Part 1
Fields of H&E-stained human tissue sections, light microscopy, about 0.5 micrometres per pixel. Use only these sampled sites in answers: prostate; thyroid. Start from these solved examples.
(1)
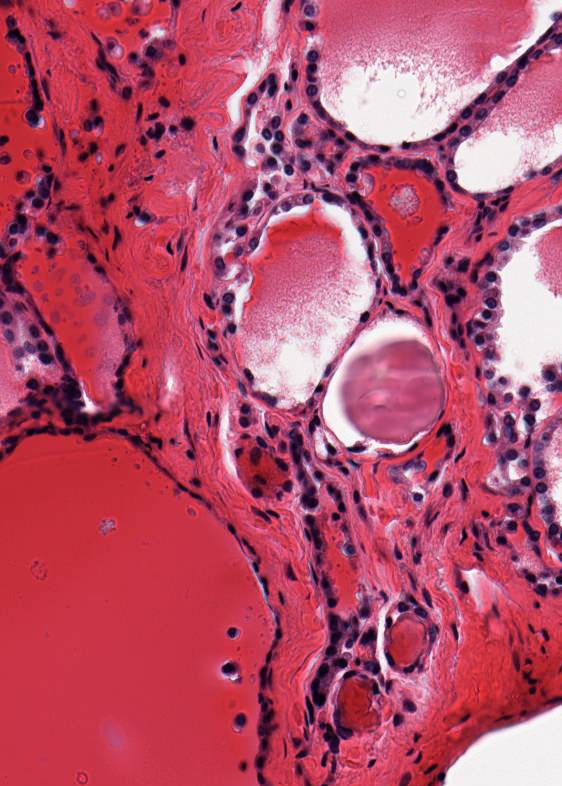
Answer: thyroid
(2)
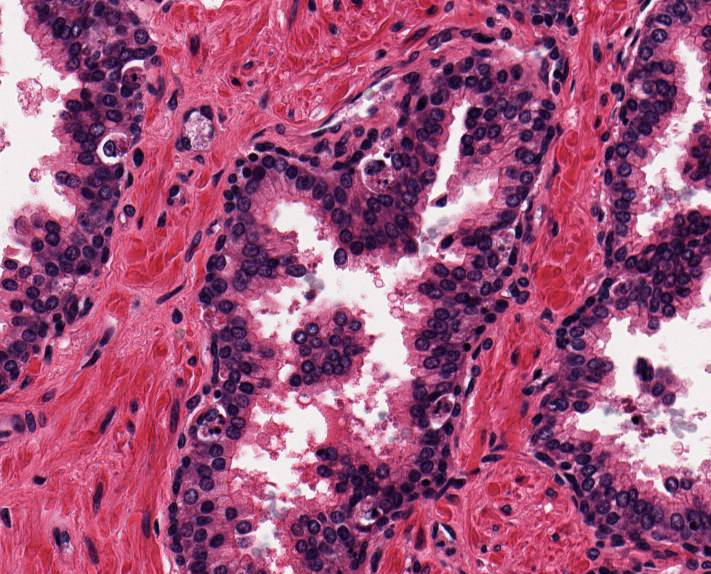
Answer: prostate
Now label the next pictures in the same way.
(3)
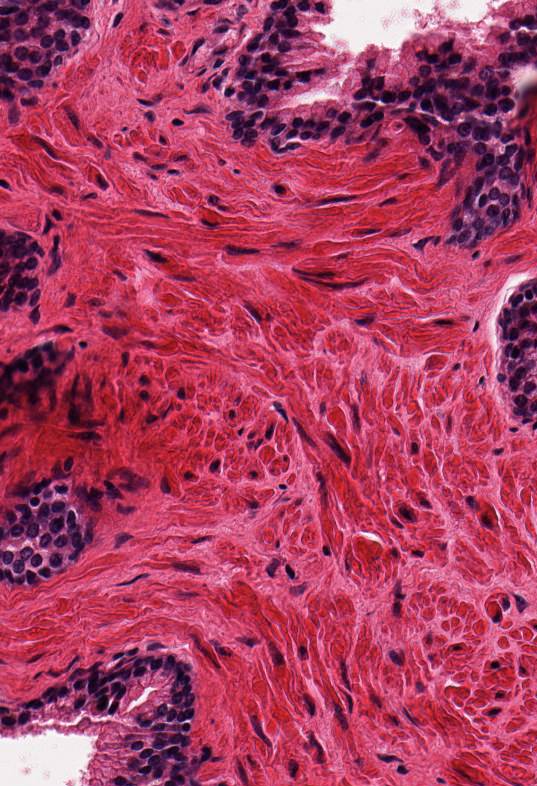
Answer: prostate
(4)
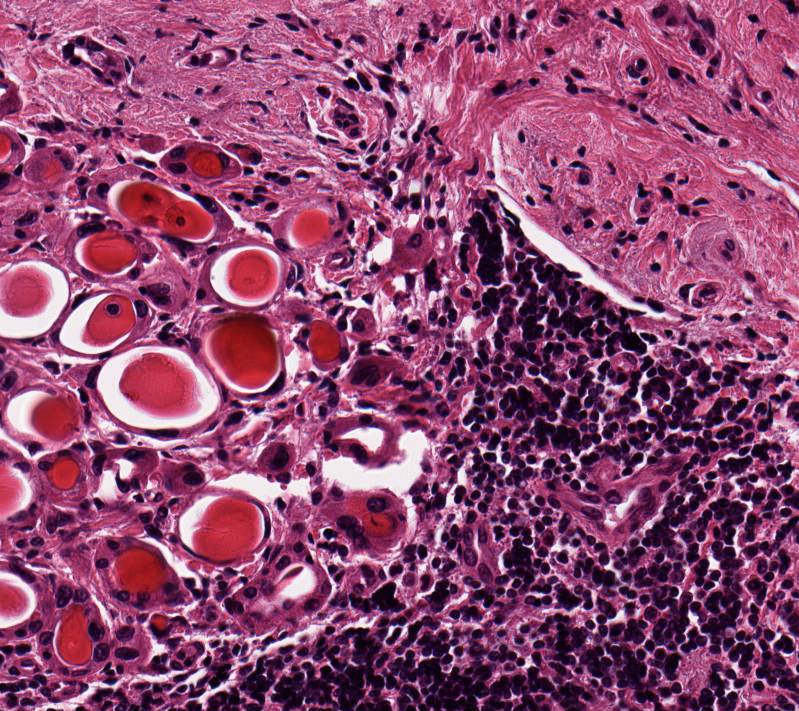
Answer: thyroid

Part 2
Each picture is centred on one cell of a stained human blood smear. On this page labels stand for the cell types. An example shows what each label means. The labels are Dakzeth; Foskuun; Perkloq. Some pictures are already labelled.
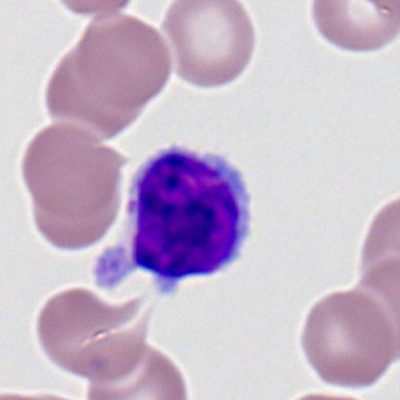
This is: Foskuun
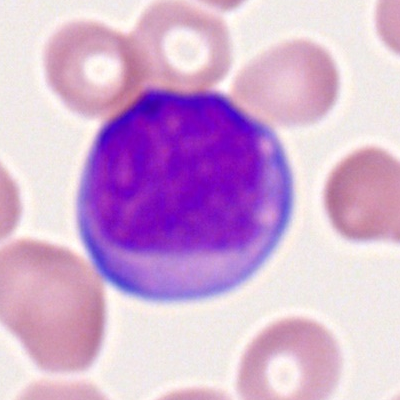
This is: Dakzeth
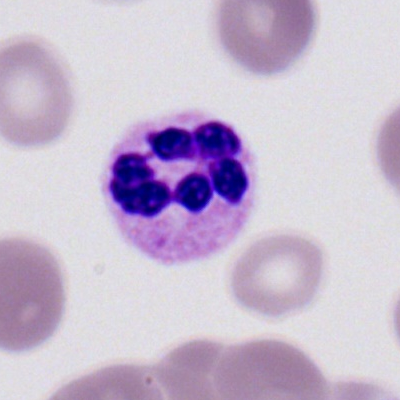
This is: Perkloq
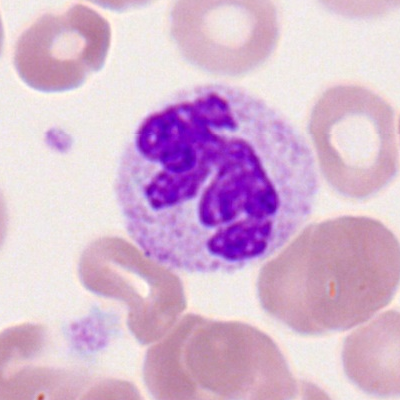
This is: Perkloq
